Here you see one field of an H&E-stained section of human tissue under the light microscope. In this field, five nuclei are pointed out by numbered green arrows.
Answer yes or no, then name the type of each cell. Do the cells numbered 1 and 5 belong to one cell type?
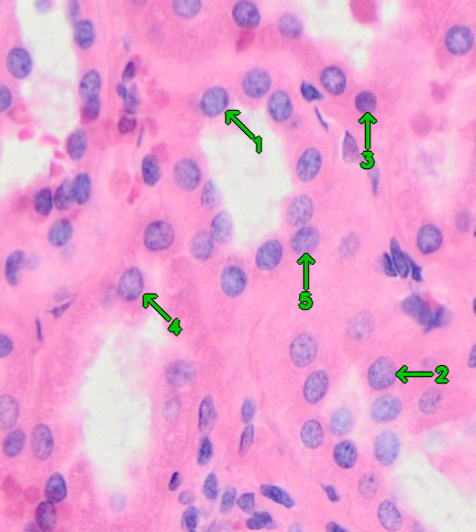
Yes, both are loop of Henle or distal tubule cells.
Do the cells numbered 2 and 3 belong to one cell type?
No, cell 2 is a loop of Henle or distal tubule cell and cell 3 is a proximal tubule cell.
